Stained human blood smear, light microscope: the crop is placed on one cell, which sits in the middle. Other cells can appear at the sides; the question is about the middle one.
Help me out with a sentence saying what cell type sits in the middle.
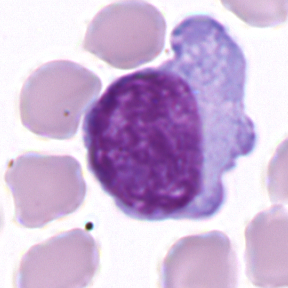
The cell at the central position in this crop is a plasma cell.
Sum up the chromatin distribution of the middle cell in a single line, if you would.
The chromatin here is fine and lacks any coarse clumps.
